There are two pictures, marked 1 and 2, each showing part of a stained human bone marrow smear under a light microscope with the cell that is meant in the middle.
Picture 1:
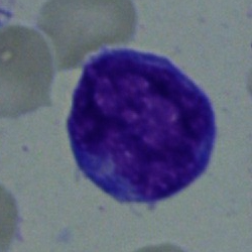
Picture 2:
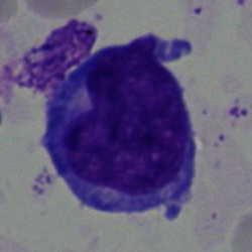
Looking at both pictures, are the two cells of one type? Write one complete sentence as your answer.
Yes, the two pictures both show blasts.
